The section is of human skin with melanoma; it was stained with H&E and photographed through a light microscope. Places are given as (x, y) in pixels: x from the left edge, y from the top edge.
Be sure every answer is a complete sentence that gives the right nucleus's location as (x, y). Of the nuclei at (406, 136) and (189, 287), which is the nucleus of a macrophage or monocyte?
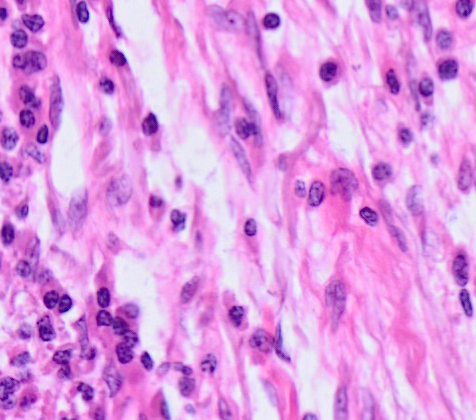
The nucleus positioned at (189, 287) is the one that belongs to a macrophage or monocyte.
